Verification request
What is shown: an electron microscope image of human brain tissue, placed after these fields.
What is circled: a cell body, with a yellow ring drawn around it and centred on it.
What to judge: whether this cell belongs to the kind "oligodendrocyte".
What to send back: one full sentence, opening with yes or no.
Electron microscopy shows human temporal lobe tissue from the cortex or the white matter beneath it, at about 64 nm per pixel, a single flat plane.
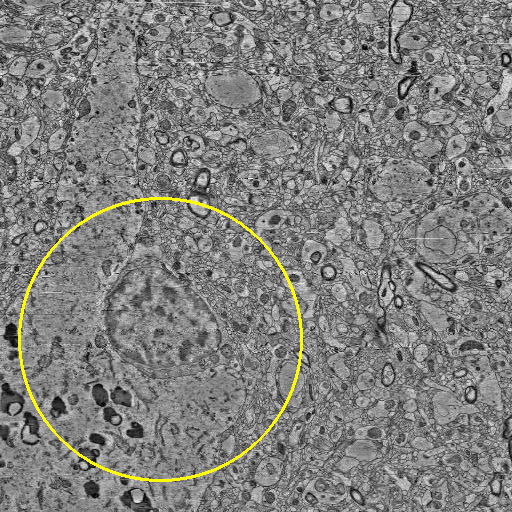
Yes, the cell on which the yellow ring is centred in the picture is of that kind.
